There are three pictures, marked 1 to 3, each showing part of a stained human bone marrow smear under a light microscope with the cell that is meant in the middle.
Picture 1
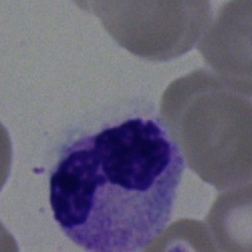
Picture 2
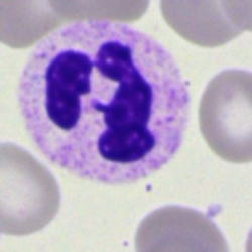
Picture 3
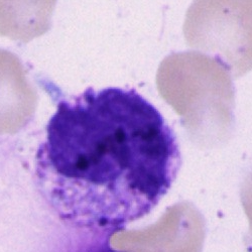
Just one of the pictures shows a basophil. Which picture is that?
3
